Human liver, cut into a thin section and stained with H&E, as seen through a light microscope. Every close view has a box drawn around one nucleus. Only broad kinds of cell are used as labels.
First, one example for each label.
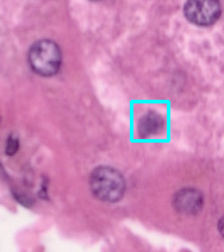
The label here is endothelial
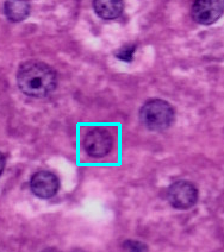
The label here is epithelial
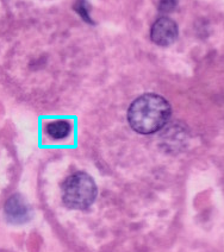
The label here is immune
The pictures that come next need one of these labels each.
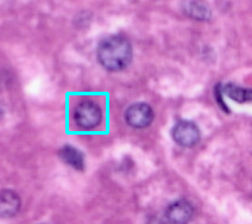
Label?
epithelial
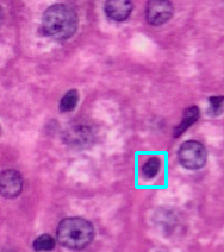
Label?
immune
